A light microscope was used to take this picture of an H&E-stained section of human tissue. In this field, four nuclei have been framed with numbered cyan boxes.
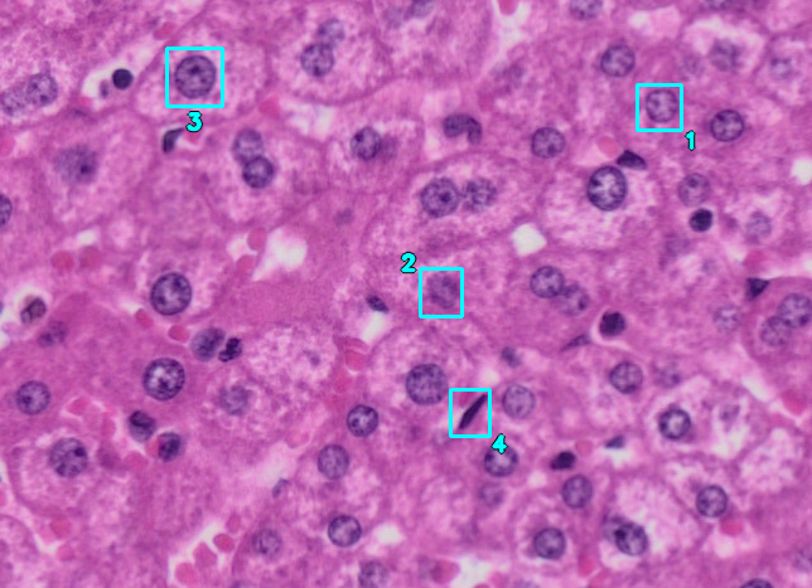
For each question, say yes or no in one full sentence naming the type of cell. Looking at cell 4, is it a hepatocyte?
No, instead of a hepatocyte, the cell with number 4 is an endothelial cell.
